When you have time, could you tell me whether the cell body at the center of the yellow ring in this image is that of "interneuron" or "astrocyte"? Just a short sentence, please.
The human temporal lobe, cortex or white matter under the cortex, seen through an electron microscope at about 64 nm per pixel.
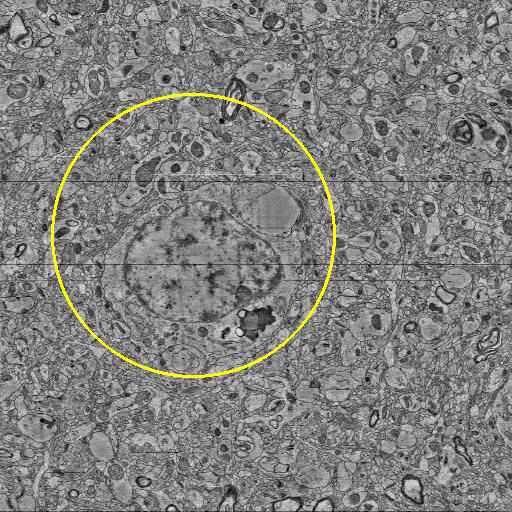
The cell body at the center of the ring is that of an interneuron.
